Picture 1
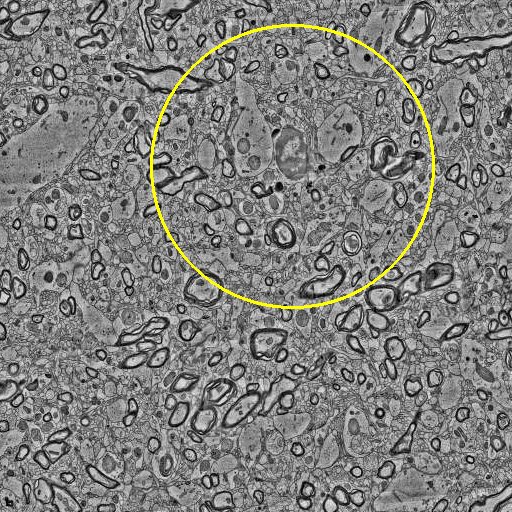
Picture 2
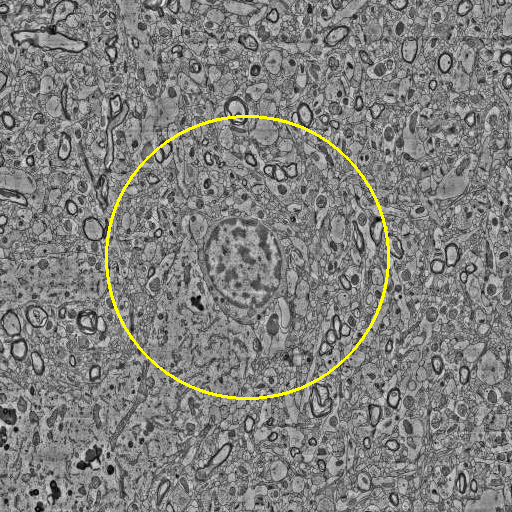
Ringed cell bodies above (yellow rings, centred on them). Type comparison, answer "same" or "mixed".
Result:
mixed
